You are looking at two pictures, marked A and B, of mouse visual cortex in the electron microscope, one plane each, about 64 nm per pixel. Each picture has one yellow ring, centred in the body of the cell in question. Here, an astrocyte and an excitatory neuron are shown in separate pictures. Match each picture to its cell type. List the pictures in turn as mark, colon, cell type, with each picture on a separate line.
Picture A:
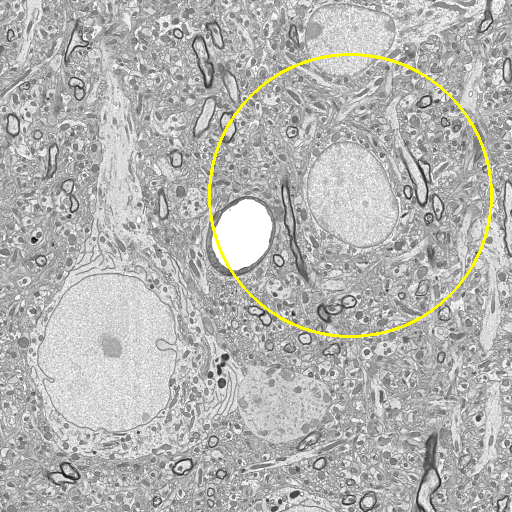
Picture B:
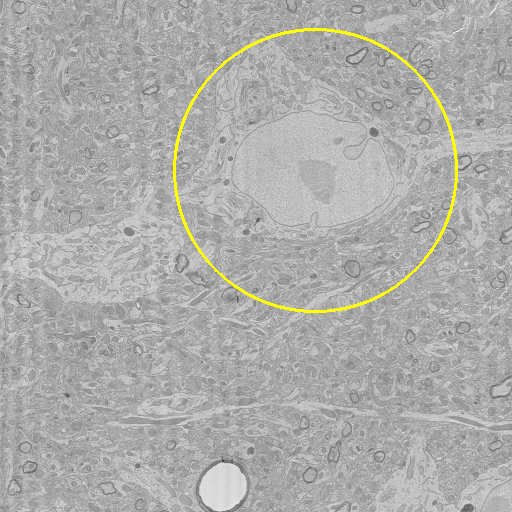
A: astrocyte
B: excitatory neuron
